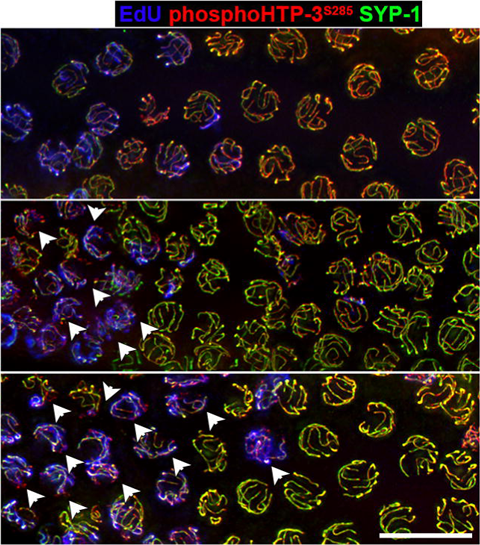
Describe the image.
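These are closely packed germline nuclei in meiotic prophase, each showing its chromosome axes as threads curling around the nucleus. In the top row nearly all threads look yellow-orange where red and green overlap, and blue flecks mark some nuclei on the left. Nuclei further to the right show continuous green-yellow threads instead. White arrowheads mark several of the blue nuclei with patchy green threads.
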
